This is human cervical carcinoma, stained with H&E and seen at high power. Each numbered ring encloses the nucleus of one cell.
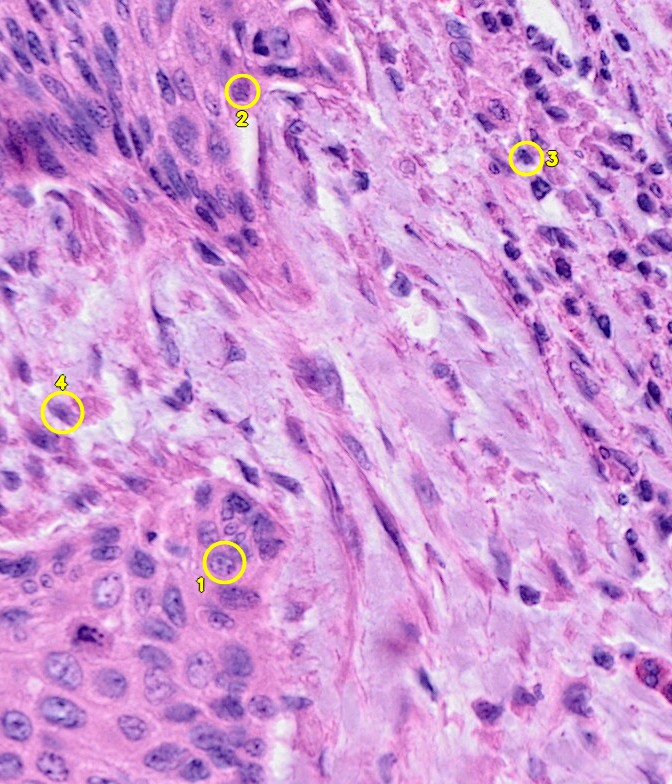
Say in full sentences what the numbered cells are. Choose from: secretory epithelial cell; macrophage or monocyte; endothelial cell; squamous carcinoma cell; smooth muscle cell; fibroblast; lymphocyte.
Cell 1 is a squamous carcinoma cell, cell 2 is a squamous carcinoma cell, cell 3 is a lymphocyte and cell 4 is a fibroblast.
